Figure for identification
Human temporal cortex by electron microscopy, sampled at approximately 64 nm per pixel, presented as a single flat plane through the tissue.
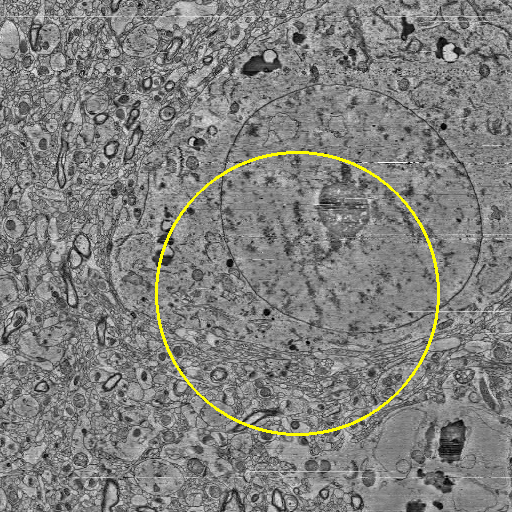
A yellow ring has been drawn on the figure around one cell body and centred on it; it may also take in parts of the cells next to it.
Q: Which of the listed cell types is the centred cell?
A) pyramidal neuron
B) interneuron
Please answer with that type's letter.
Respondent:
A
